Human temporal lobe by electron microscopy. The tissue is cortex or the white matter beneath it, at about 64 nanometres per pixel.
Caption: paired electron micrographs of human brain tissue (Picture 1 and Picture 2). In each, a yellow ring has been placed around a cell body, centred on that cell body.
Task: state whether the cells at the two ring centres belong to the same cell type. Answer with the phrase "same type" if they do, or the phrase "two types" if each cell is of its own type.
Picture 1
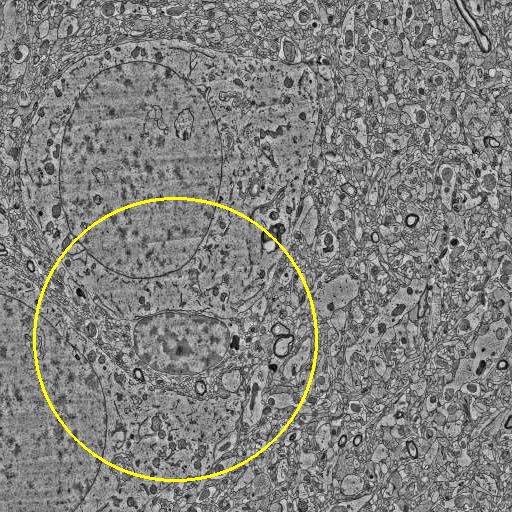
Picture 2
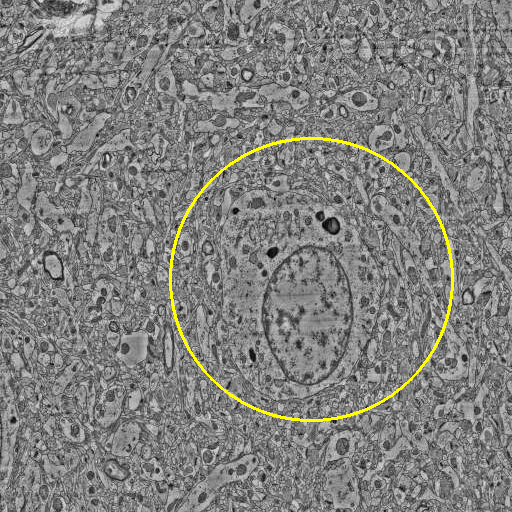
two types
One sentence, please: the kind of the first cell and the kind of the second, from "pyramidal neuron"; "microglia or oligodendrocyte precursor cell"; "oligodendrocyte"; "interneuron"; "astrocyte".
The ring in the first picture surrounds a microglial cell or oligodendrocyte precursor cell, and the ring in the second surrounds a pyramidal neuron.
